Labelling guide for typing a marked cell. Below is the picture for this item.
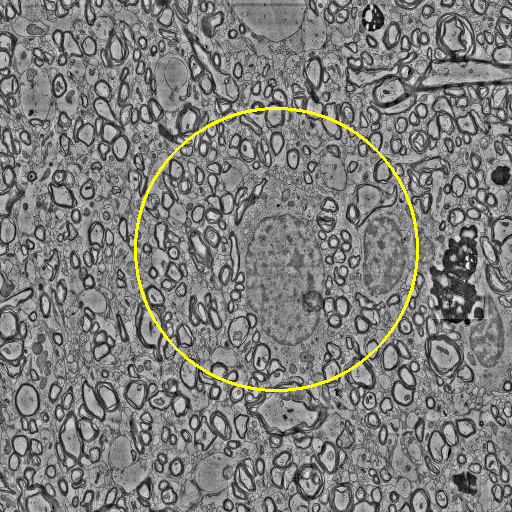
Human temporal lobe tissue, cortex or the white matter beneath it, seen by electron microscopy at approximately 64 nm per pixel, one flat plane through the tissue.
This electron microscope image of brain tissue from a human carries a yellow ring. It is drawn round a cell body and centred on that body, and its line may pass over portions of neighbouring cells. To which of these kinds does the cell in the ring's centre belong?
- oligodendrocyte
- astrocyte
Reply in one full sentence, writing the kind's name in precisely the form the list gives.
Here we have an oligodendrocyte at the centre of the yellow ring in the picture.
